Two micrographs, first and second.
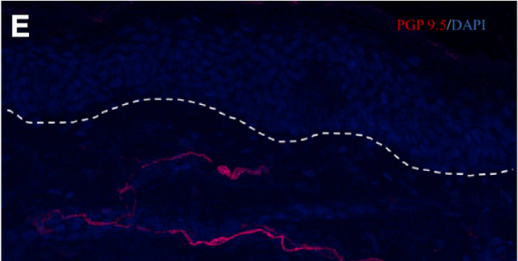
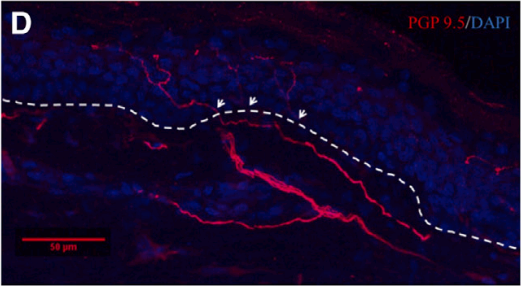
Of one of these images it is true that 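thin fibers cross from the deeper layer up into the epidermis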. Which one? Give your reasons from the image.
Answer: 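The second image. First image: red threads stay below the dashed line; the layer above holds only blue nuclei. Second image: several red threads cross the dashed line and branch among the packed nuclei of the upper layer.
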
